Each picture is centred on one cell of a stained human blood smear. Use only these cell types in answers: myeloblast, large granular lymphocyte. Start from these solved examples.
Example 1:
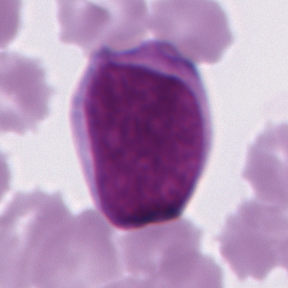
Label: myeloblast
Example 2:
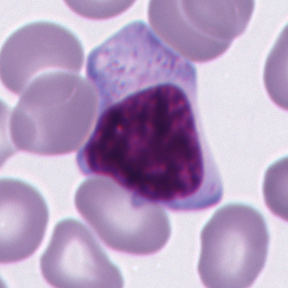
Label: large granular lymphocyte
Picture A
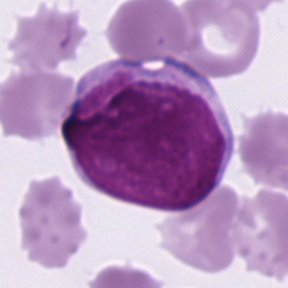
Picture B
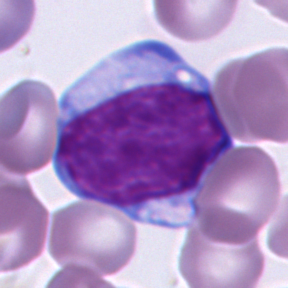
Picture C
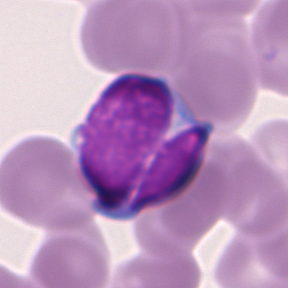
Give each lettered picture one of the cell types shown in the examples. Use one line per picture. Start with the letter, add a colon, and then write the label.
A: myeloblast
B: myeloblast
C: large granular lymphocyte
